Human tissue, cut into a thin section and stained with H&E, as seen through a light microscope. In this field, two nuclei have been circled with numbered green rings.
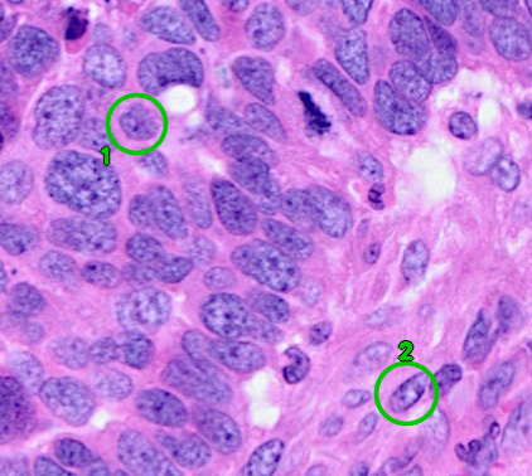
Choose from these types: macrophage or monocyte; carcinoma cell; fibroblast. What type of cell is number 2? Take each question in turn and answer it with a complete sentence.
Here the cell numbered 2 is a fibroblast.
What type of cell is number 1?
The cell pointed out as number 1 is a carcinoma cell.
